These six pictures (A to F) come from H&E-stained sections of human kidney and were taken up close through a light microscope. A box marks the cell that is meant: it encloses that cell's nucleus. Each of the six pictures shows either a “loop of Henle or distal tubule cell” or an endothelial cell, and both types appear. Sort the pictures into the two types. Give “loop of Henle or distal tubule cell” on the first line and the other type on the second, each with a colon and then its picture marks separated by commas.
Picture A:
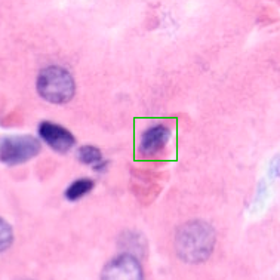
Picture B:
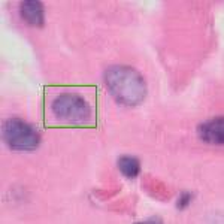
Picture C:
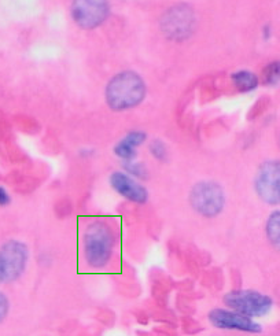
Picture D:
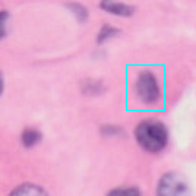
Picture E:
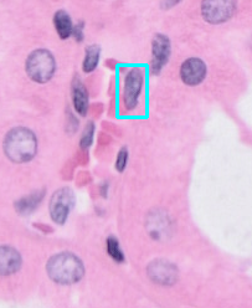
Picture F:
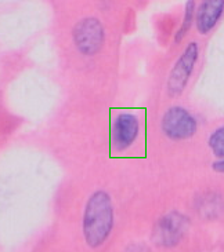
loop of Henle or distal tubule cell: B, D
endothelial cell: A, C, E, F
